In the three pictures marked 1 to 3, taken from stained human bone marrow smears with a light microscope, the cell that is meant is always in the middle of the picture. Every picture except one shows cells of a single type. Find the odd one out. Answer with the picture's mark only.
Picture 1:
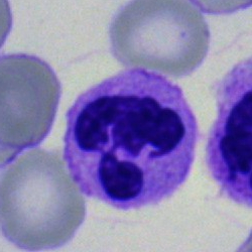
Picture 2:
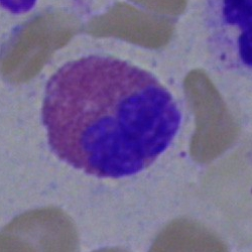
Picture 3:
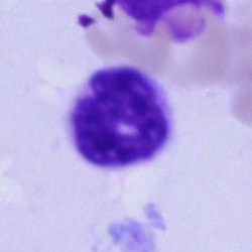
2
